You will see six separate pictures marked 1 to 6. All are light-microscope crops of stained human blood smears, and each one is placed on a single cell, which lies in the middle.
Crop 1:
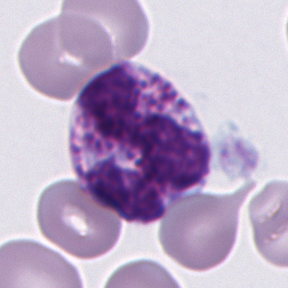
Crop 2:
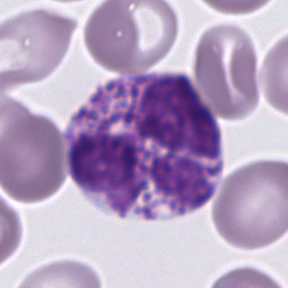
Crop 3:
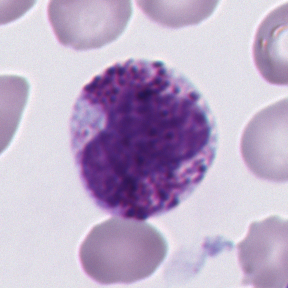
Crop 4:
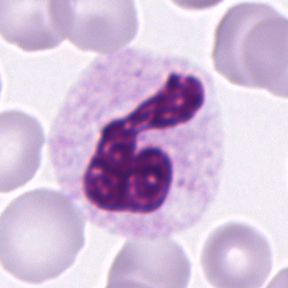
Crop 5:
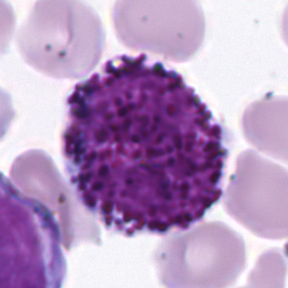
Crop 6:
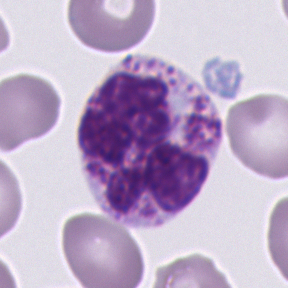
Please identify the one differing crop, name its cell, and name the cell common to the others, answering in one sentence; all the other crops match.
Apart from crop 4, a segmented neutrophil, the crops all show basophils.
